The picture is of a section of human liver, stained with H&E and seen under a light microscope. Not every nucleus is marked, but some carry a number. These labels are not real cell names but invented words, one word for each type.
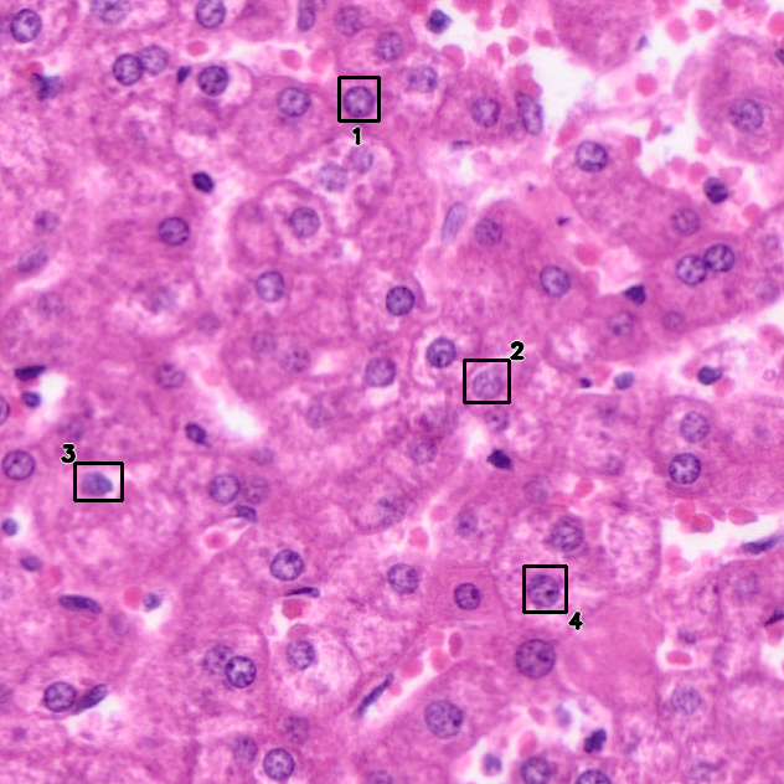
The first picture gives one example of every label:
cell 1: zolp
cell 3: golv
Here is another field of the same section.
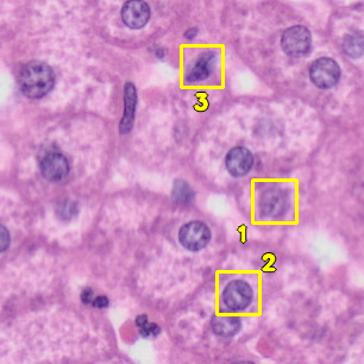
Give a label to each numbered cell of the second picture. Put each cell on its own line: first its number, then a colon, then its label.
1: zolp
2: zolp
3: golv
